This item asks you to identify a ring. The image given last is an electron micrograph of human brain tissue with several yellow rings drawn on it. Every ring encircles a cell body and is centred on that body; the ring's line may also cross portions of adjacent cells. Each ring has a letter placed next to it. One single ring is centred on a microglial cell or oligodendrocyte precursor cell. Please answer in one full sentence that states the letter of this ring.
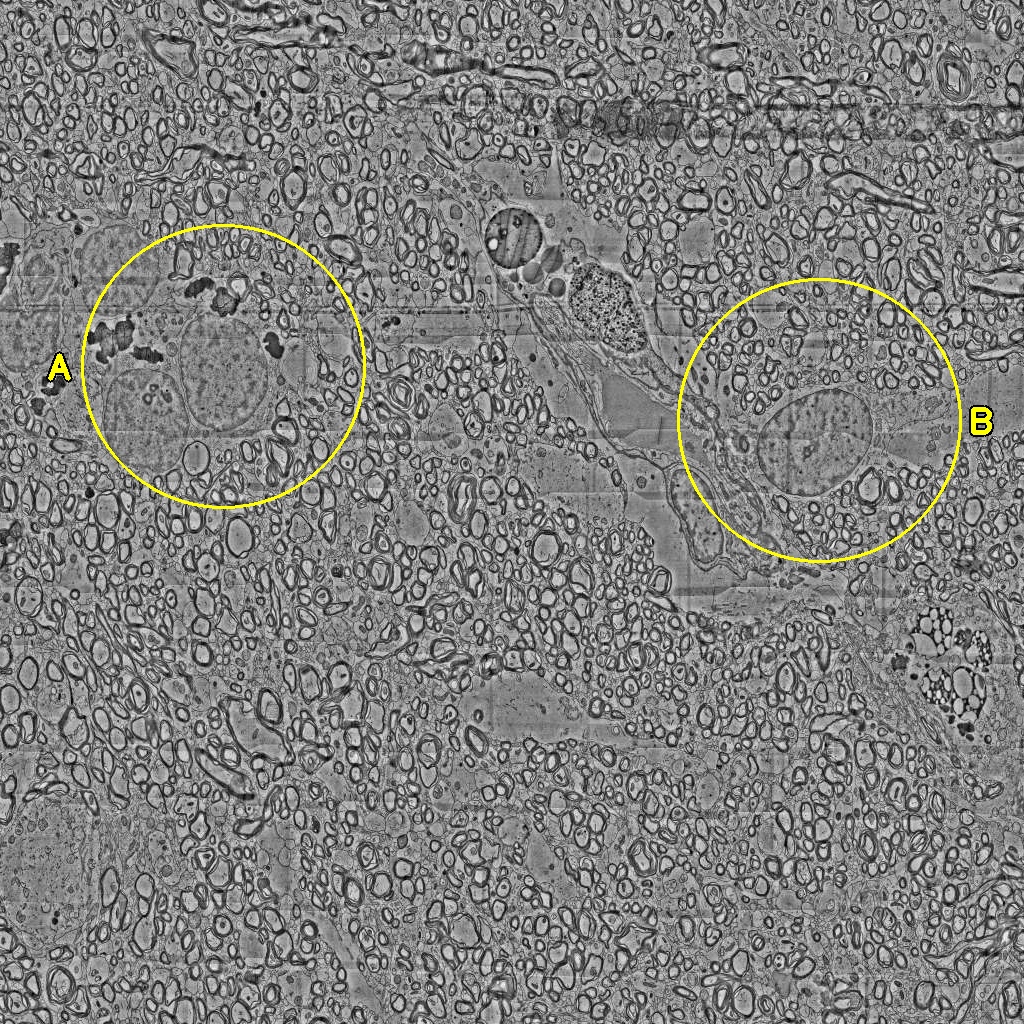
My answer is letter B, the ring centred on the cell asked for.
